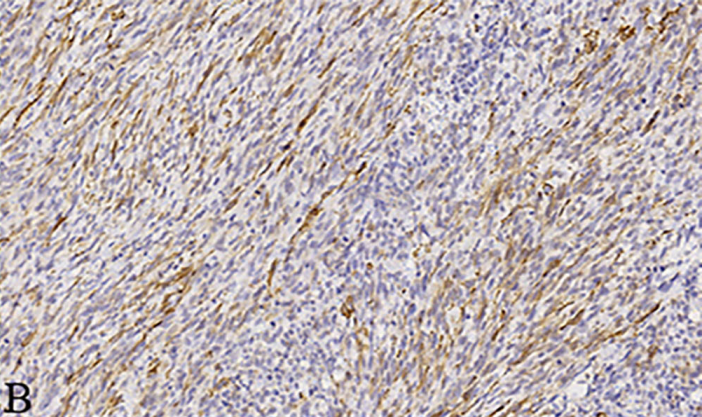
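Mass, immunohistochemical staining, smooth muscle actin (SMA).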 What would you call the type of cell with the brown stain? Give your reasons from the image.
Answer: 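Brown stain lies in the cytoplasm of elongated cells. The stained cells are aligned in streaming bundles. Small round blue nuclei between them are unstained. The answer: spindle tumor cells.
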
